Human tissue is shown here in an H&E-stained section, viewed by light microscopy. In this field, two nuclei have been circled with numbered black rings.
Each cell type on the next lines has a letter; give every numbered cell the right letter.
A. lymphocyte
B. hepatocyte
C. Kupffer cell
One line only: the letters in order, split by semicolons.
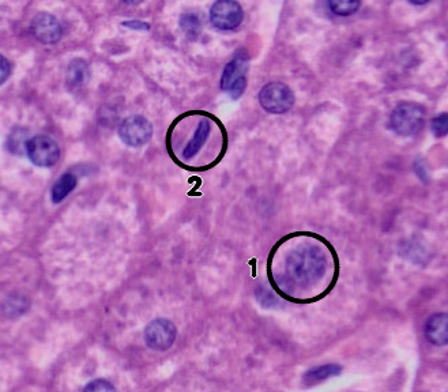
B; A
